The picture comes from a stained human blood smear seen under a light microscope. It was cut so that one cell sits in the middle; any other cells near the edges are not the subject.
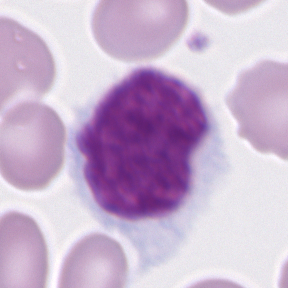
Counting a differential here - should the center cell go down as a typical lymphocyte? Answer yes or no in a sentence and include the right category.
No, the middle cell is classified as a hairy cell instead of a typical lymphocyte.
